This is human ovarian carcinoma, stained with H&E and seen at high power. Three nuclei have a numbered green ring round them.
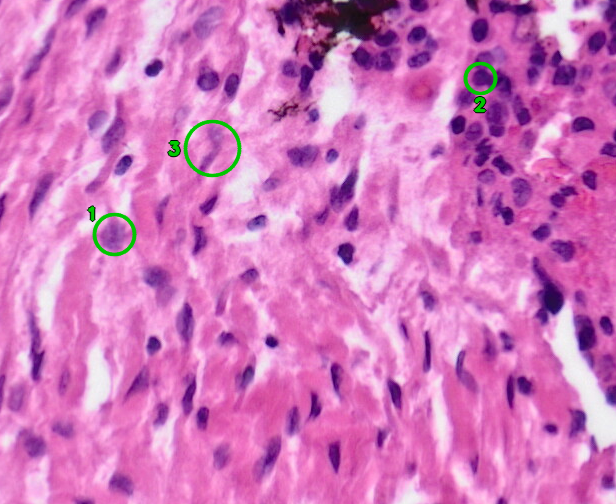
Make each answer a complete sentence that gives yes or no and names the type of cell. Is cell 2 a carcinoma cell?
Yes, the cell denoted by 2 is a carcinoma cell.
